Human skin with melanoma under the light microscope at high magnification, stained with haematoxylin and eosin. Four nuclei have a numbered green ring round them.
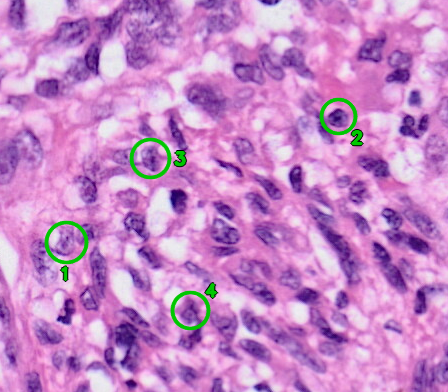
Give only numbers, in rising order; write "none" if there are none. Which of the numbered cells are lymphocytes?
2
